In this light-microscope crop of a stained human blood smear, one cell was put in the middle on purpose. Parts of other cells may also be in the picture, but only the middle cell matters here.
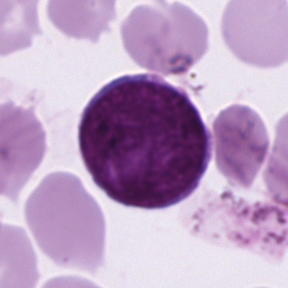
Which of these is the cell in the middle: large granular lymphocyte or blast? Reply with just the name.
blast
